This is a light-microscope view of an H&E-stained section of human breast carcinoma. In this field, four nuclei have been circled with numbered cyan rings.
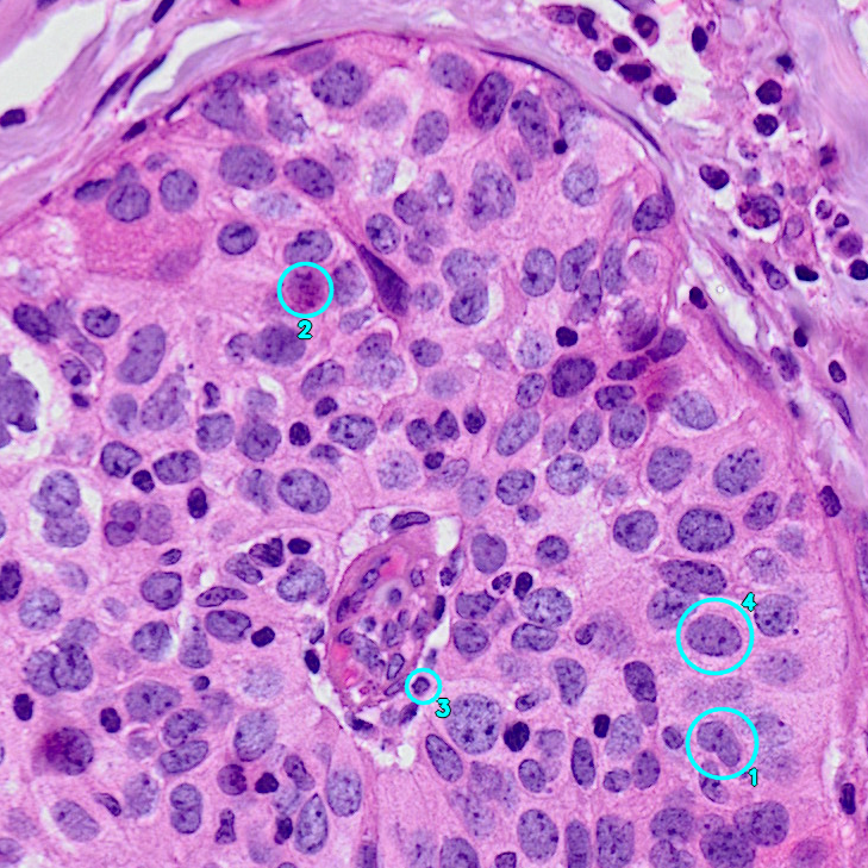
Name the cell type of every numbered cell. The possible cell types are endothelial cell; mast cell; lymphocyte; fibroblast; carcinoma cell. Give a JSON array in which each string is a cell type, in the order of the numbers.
["carcinoma cell", "carcinoma cell", "lymphocyte", "carcinoma cell"]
